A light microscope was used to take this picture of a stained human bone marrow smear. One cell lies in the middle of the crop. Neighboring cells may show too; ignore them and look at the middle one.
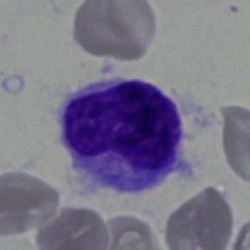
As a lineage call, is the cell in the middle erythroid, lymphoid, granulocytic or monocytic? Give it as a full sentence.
The lineage to which the central cell belongs is the lymphoid lineage.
